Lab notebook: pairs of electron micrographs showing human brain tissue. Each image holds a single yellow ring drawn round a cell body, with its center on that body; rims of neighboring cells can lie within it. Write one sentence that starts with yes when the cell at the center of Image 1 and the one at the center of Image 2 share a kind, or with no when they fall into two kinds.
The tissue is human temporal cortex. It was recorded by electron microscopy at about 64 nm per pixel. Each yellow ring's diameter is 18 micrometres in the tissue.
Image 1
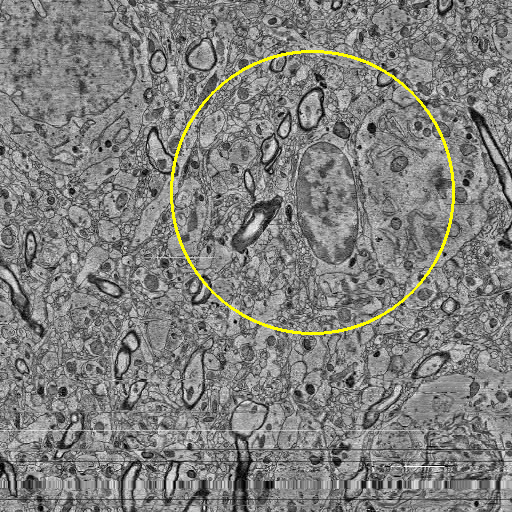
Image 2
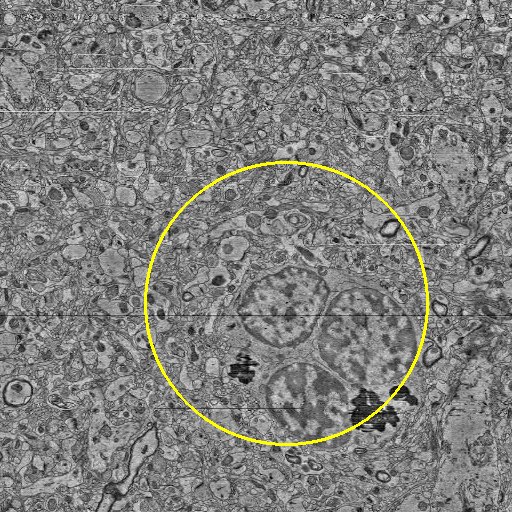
No, the centered cell in Image 1 and the centered cell in Image 2 are of two kinds.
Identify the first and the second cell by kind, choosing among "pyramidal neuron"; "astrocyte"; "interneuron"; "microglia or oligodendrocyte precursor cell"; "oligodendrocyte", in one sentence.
The one in the first picture is a microglial cell or oligodendrocyte precursor cell, while the one in the second is an oligodendrocyte.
